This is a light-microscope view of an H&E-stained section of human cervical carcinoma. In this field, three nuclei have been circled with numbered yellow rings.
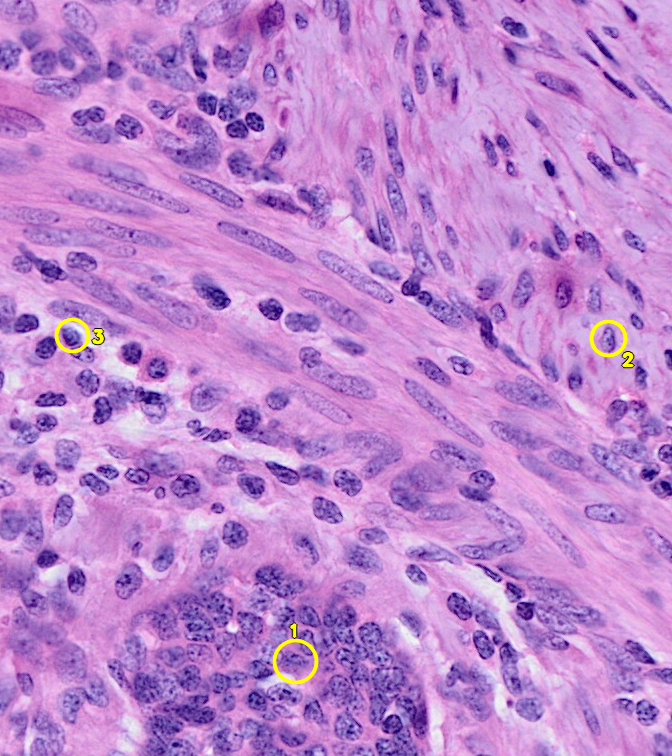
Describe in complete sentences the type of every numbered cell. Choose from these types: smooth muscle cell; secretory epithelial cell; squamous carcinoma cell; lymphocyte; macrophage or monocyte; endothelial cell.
Cell 1 is a squamous carcinoma cell, cell 2 is a smooth muscle cell and cell 3 is a lymphocyte.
